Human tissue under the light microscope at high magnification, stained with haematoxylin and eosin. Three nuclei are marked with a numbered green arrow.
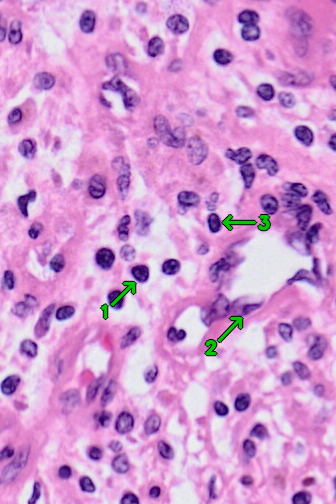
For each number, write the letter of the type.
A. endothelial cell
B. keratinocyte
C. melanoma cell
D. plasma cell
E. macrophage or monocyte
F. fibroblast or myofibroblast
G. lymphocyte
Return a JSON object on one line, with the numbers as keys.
{"1": "G", "2": "A", "3": "G"}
